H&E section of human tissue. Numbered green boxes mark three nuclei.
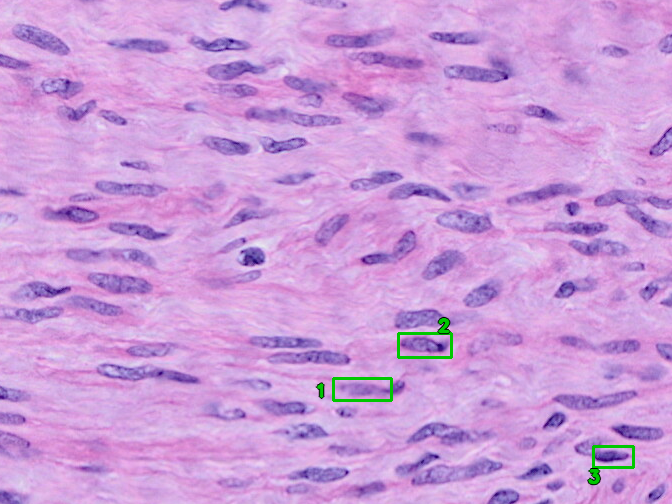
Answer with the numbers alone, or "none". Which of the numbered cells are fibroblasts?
3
